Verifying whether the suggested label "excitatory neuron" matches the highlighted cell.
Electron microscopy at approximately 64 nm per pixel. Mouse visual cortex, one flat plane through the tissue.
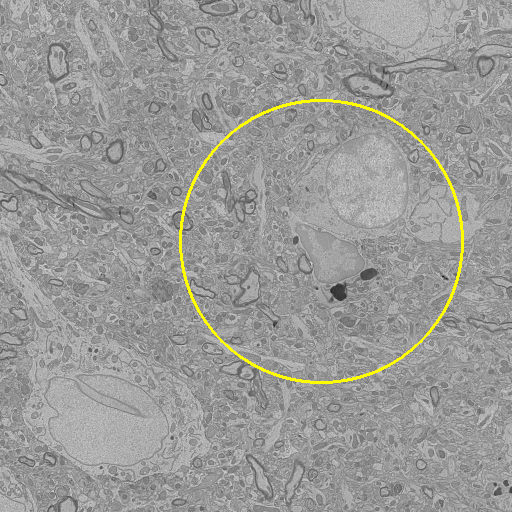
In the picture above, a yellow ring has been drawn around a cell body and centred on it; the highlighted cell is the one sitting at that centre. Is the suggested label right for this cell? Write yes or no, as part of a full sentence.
No, the cell centred in the yellow ring belongs to a different kind from the label.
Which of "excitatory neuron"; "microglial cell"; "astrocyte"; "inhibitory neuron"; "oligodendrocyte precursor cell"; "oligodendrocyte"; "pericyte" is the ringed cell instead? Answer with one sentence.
What the ring is centred on is a microglial cell.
